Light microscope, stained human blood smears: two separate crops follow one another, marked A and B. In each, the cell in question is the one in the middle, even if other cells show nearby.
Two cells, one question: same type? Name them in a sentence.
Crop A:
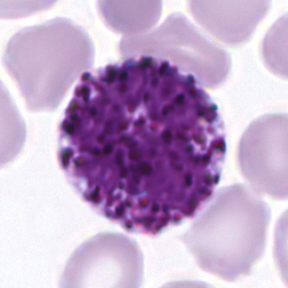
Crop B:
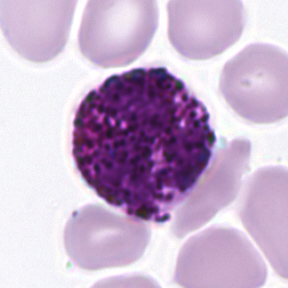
Yes, that is right, both crops show basophils.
